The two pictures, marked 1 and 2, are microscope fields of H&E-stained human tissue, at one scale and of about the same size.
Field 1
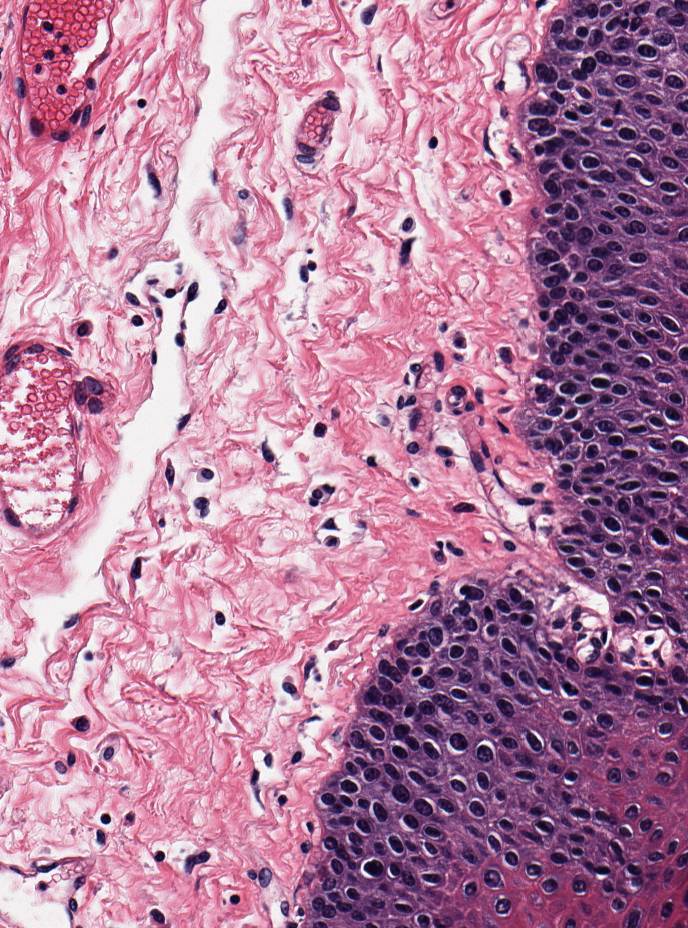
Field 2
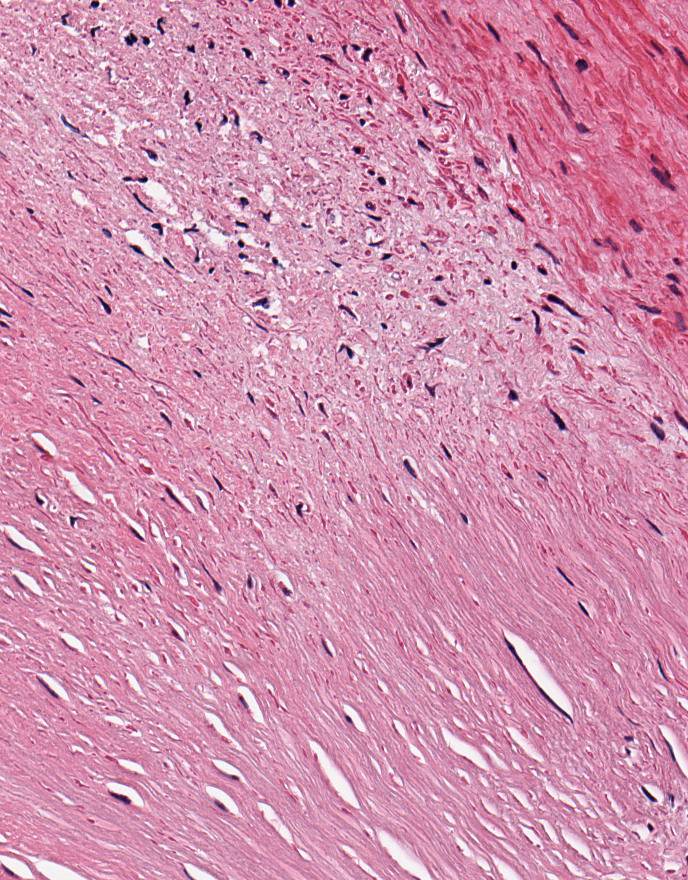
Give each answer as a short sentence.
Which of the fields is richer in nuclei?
More nuclei lie in field 1 than in field 2.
